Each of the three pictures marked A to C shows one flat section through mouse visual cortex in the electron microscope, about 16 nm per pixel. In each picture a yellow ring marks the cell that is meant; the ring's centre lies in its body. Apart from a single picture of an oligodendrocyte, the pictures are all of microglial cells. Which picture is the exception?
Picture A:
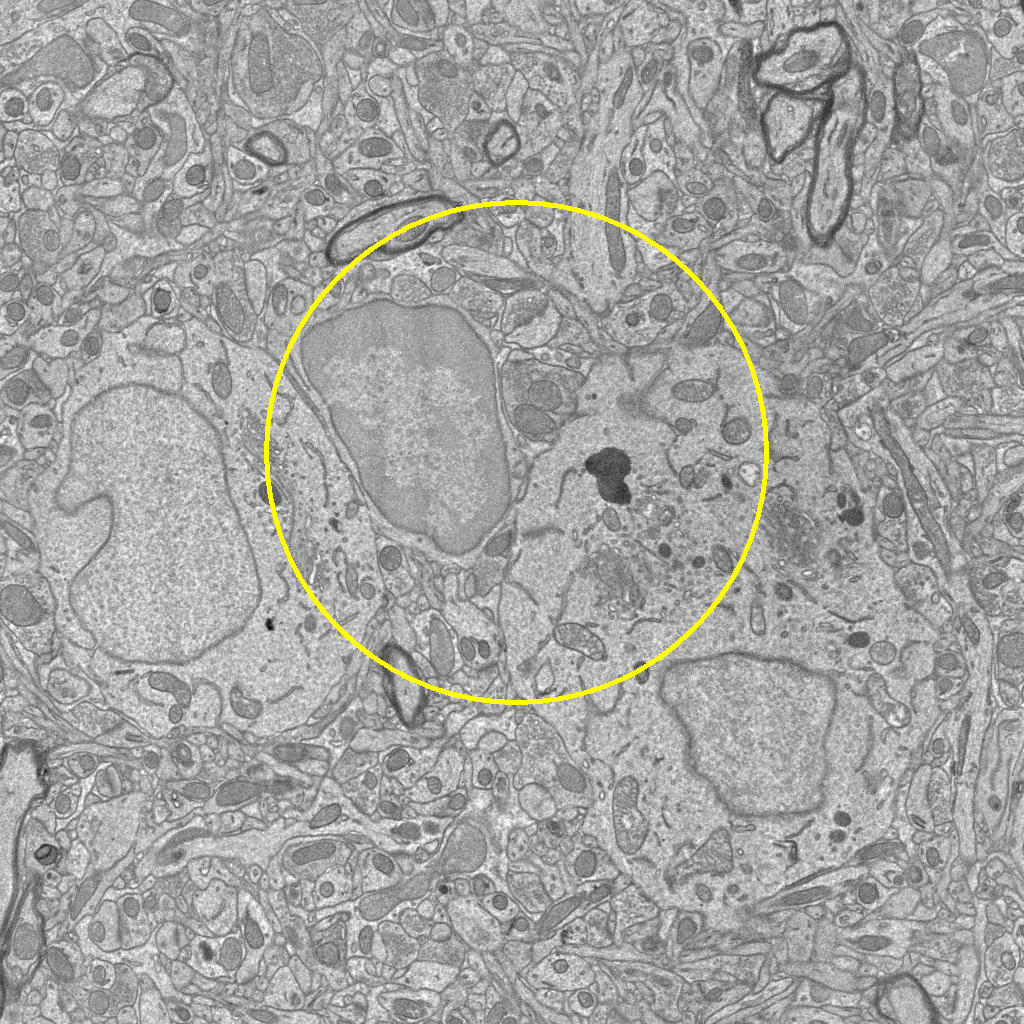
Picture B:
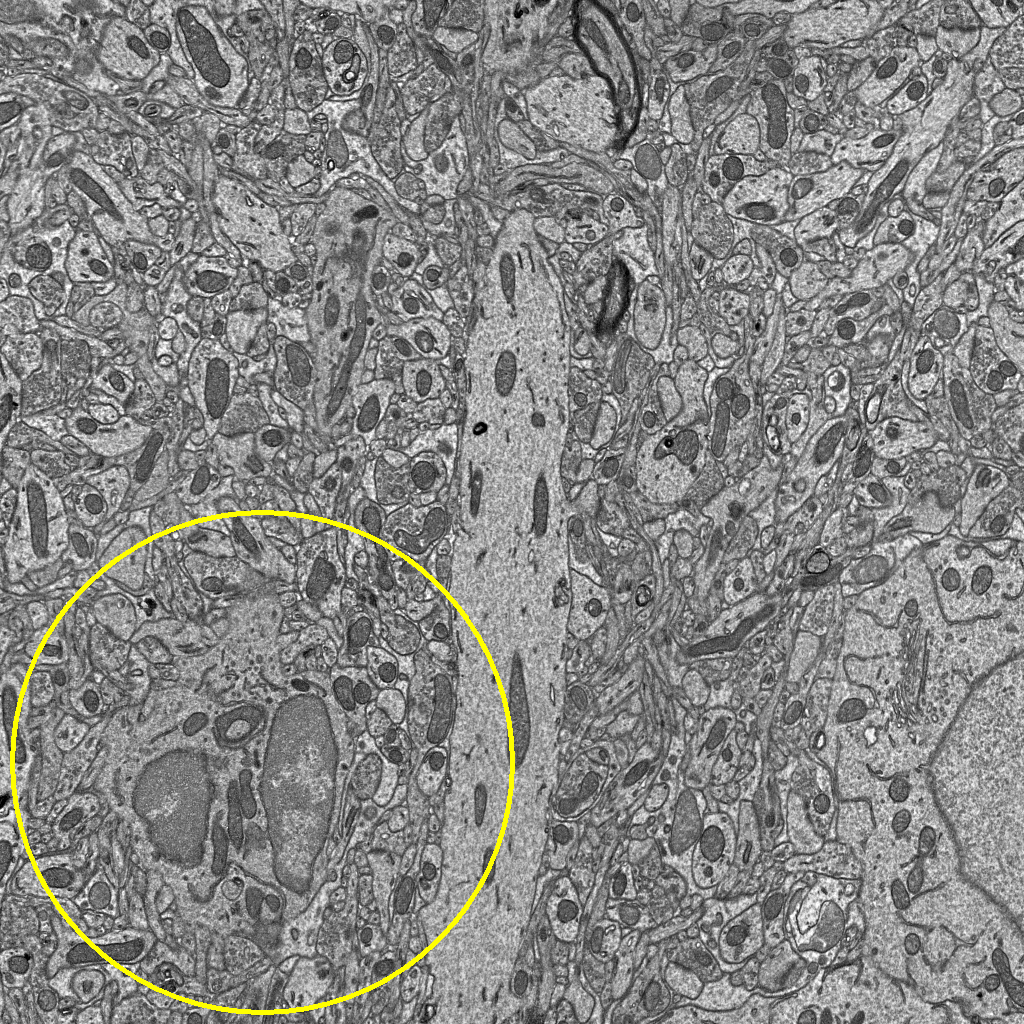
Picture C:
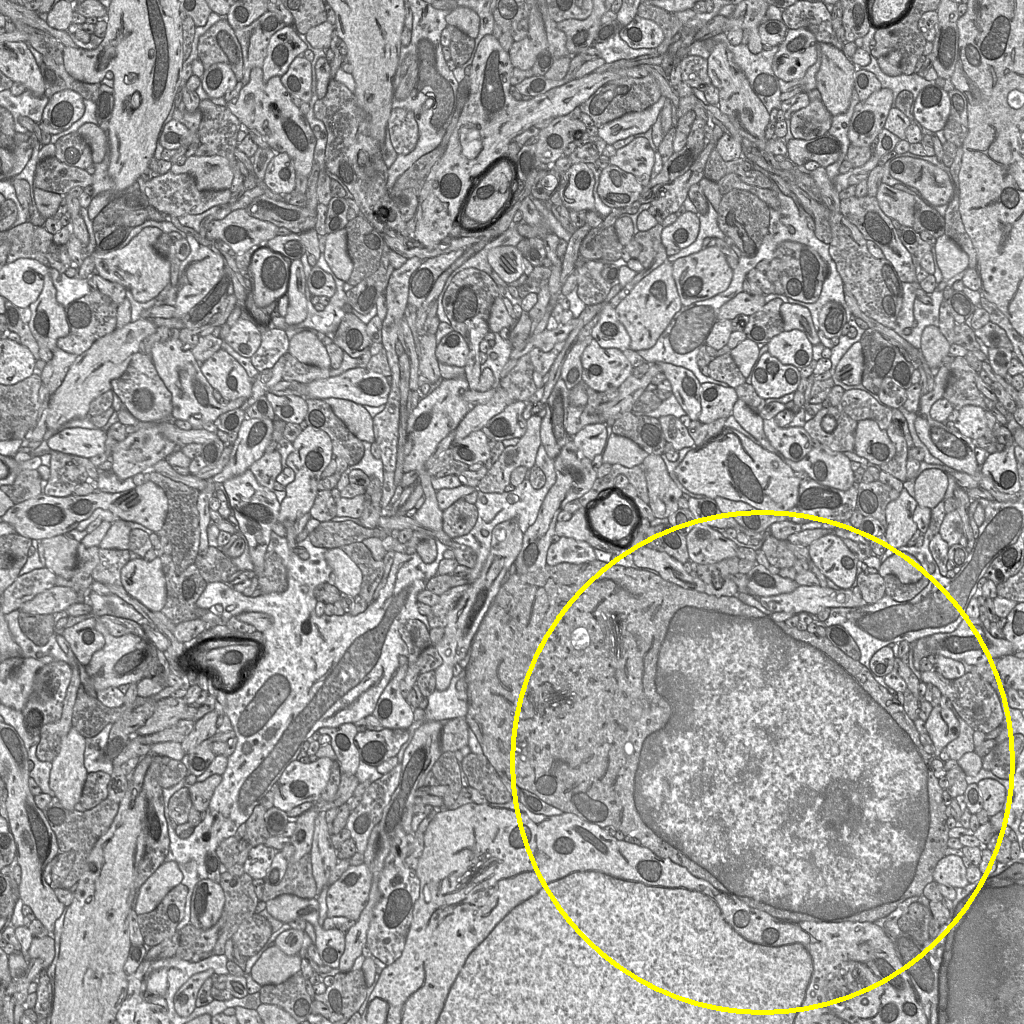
The picture with the oligodendrocyte is C.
